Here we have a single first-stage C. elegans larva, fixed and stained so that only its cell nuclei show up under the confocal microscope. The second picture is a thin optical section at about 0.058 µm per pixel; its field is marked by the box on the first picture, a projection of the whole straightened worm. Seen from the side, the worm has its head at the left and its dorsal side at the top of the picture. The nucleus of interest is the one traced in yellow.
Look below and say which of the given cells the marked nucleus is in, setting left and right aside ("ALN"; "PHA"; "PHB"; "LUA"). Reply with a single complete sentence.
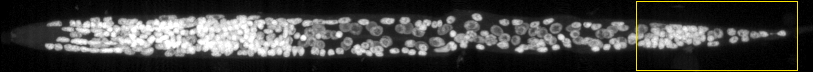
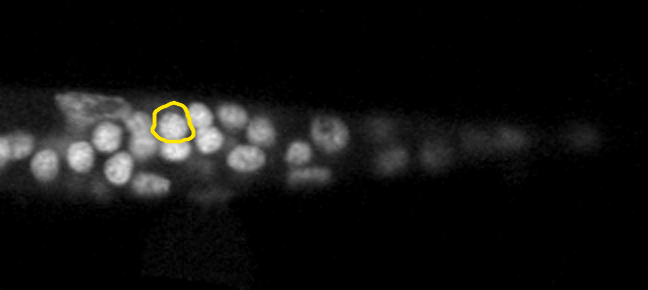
This is the nucleus of PHB, a neuron.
